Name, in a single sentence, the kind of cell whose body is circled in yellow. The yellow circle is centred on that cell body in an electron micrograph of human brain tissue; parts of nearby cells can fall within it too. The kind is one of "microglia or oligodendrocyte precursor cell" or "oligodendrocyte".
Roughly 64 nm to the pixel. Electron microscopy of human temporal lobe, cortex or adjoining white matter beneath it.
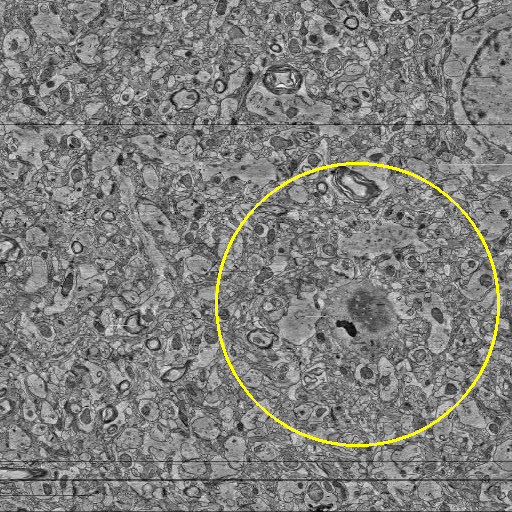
The circled cell body belongs to an oligodendrocyte.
